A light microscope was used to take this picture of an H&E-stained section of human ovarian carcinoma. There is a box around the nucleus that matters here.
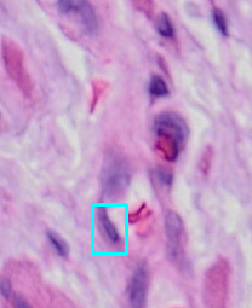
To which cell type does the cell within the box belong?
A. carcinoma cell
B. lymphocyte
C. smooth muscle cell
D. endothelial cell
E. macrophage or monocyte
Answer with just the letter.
D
